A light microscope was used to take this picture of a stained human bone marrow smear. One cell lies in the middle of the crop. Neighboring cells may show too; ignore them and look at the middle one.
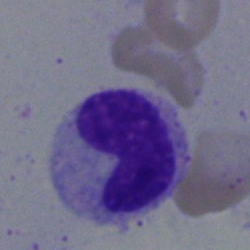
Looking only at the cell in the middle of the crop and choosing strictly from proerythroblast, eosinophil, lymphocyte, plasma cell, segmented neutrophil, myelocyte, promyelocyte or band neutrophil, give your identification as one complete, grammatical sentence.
The cell marked by its central position in the crop is a band neutrophil.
